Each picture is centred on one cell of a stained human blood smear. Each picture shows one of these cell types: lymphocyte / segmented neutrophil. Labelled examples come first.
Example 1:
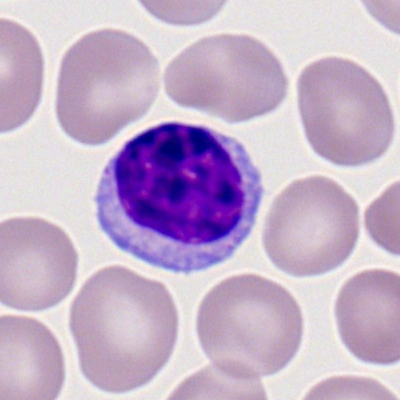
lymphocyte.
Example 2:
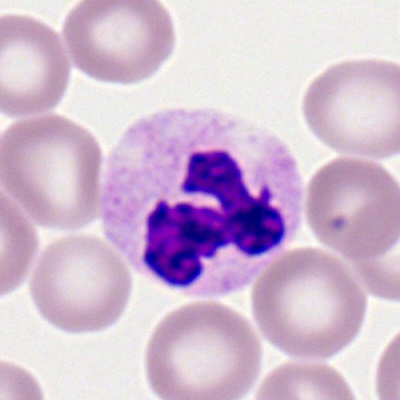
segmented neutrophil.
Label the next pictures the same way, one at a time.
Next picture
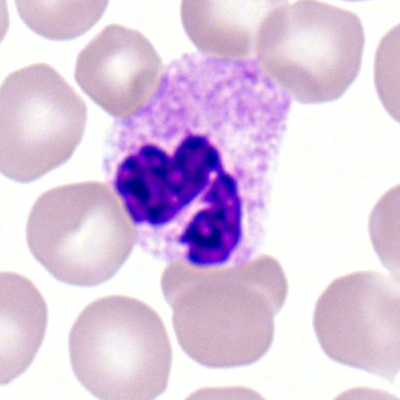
segmented neutrophil.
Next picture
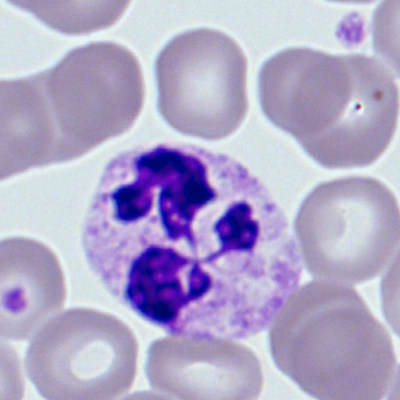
segmented neutrophil.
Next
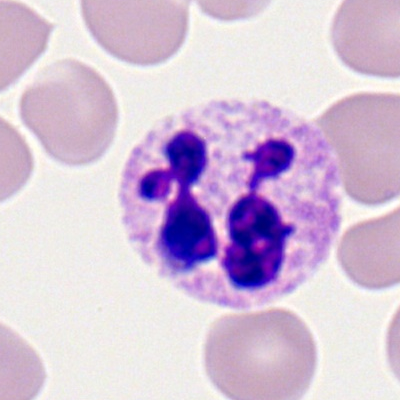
segmented neutrophil.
